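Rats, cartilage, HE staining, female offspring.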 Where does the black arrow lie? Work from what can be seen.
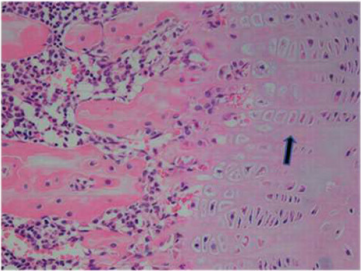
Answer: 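The arrow points into pale lilac cartilage on the right. Flattened chondrocytes in lacunae are lined up in columns. The answer: chondrocyte proliferative zone.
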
